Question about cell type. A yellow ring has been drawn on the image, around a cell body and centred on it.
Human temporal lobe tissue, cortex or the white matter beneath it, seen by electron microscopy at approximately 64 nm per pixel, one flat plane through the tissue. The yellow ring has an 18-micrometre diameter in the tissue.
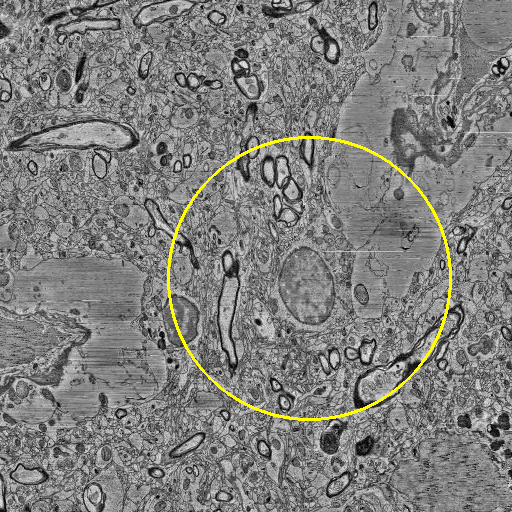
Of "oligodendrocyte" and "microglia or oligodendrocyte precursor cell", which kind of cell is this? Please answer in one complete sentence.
At the centre of the ring lies an oligodendrocyte.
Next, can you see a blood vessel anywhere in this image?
Yes, a vessel shows somewhere in the image.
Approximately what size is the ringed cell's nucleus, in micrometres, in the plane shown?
Approximately 5 by 4 micrometers in this plane.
